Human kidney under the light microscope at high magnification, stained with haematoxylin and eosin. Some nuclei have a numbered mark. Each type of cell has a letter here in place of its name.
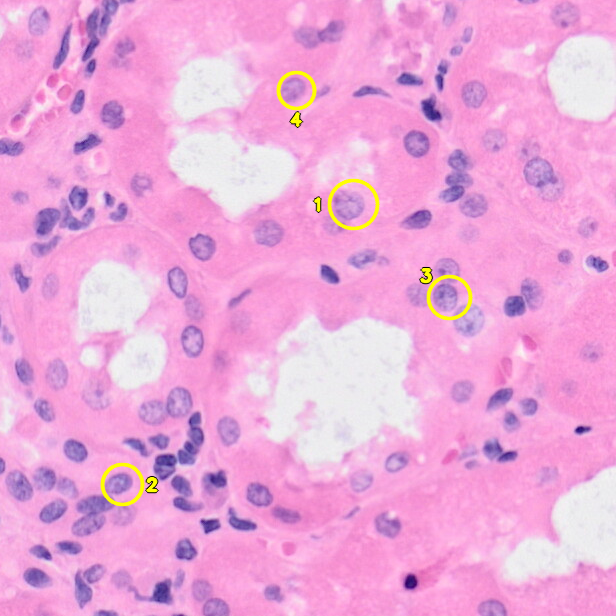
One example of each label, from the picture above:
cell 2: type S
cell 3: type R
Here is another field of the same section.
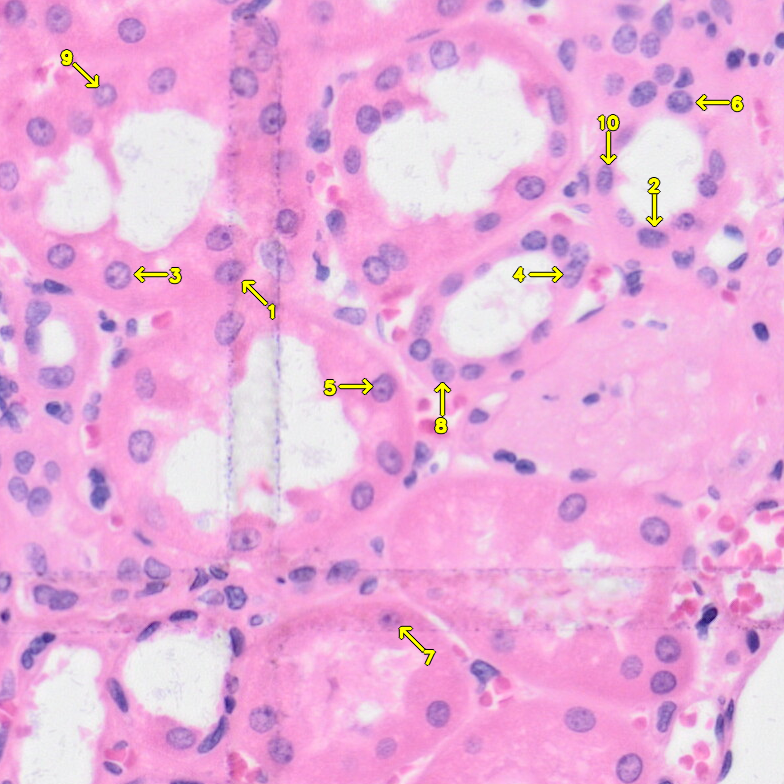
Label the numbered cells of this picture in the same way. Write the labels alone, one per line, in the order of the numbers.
type R
type S
type R
type S
type R
type S
type R
type S
type R
type S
